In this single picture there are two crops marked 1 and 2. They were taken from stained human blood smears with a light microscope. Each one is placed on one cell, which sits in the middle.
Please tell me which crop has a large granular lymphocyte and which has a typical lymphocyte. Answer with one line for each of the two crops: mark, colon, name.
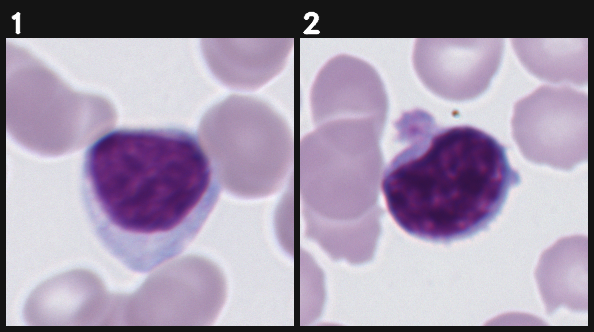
1: large granular lymphocyte
2: typical lymphocyte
